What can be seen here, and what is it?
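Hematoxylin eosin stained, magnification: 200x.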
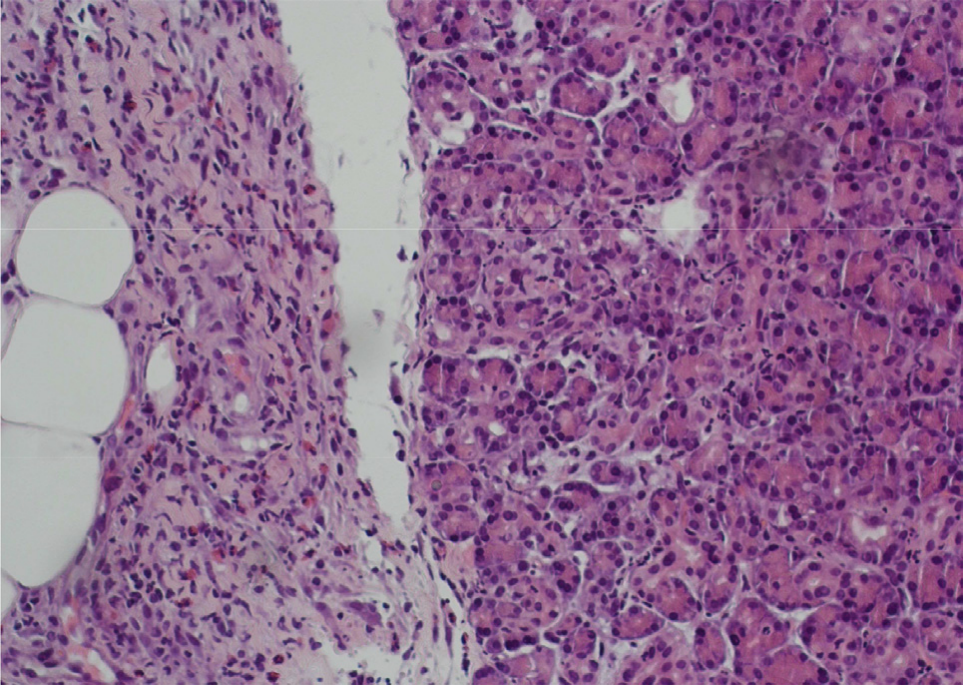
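On the right, the tissue is packed with small rounded acini of pyramidal cells. These cells have round, dark, basally placed nuclei and pink-purple granular cytoplasm, and thin septa separate the acini; this is acinar pancreatic parenchyma. On the left, across a cleft, lies pink fibrous stroma crowded with spindle-shaped and scattered round nuclei, with a few large empty fat cells at its edge; this is adjacent fibrosis with an inflammatory infiltrate.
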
